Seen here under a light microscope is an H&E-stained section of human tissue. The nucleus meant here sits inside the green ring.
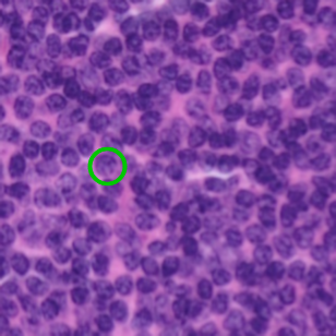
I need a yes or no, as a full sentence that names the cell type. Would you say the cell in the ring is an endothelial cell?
No, the cell in the ring is classed as a small lymphocyte, not as an endothelial cell.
